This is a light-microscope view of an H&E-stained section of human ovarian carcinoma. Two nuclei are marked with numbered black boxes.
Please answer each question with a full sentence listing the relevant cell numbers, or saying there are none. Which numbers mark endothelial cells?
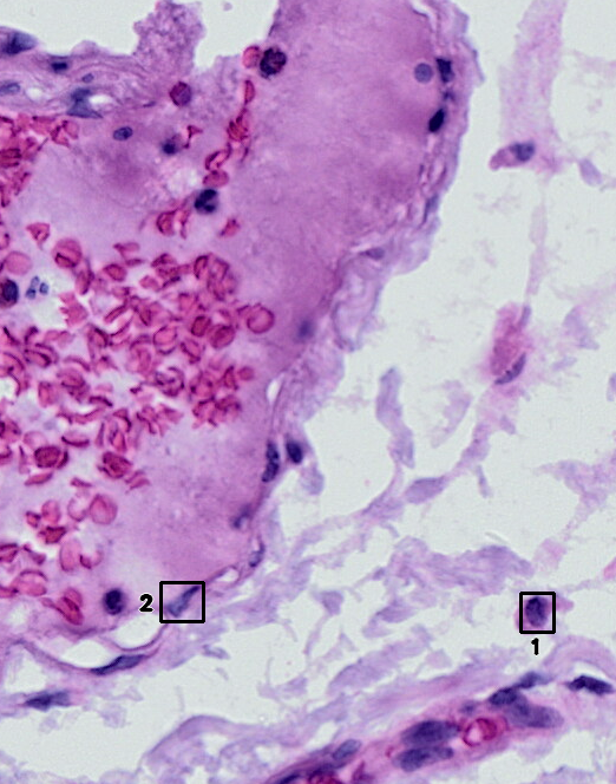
With the exception of cell 2, no marked cell is an endothelial cell.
